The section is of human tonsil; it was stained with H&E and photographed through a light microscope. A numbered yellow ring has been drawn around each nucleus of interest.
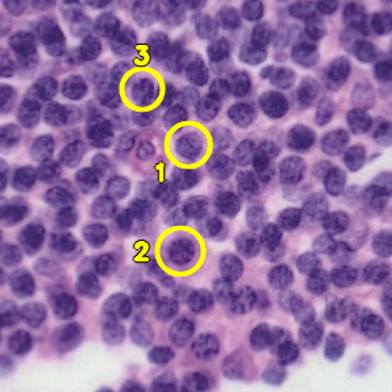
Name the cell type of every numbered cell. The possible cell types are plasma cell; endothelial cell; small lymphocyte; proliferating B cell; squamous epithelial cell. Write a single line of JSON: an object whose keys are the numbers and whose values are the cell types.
{"1": "small lymphocyte", "2": "plasma cell", "3": "small lymphocyte"}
